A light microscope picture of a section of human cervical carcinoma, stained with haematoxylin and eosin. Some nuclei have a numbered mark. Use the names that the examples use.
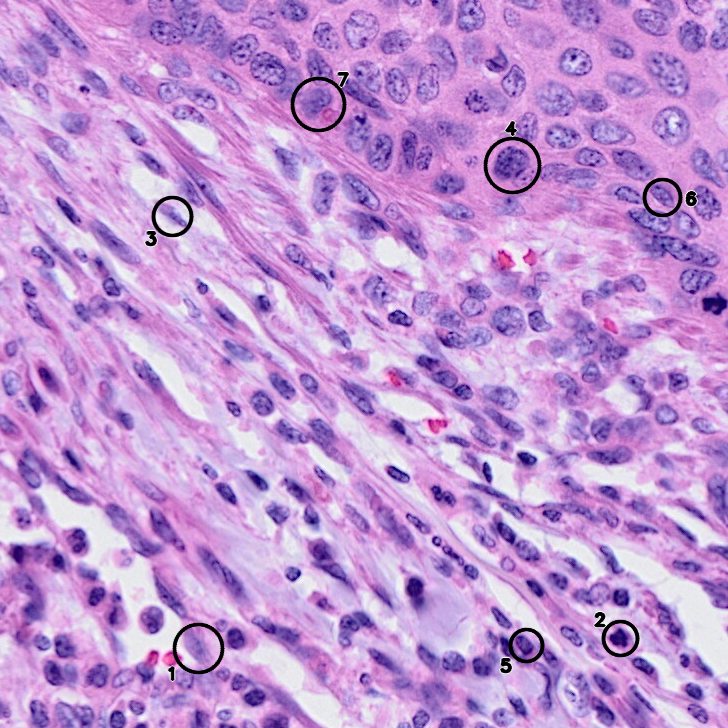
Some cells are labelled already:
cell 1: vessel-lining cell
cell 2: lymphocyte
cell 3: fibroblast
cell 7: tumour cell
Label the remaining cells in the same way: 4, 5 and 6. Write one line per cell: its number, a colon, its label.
4: tumour cell
5: lymphocyte
6: tumour cell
